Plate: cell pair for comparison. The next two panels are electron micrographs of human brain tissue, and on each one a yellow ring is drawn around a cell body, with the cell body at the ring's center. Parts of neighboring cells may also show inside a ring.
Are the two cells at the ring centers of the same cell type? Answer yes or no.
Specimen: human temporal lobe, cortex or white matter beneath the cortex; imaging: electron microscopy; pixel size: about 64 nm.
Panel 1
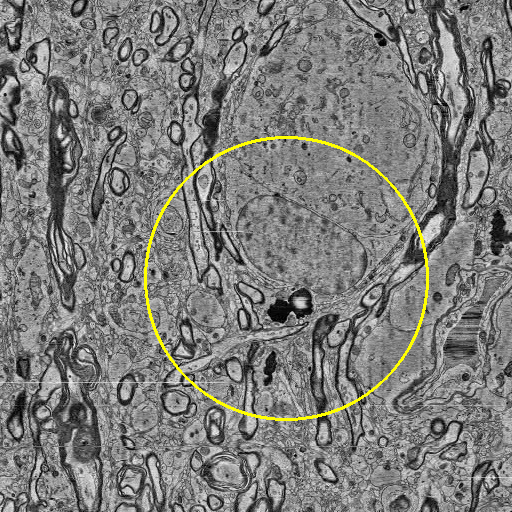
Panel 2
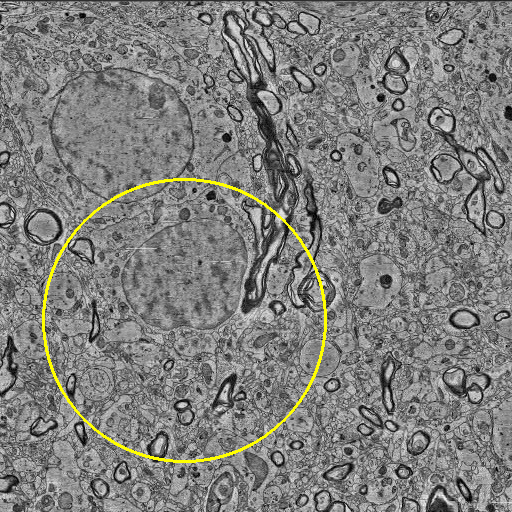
no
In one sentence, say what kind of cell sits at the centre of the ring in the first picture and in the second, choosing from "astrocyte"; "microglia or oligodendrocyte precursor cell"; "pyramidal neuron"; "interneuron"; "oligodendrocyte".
The first picture's ringed cell is a microglial cell or oligodendrocyte precursor cell, while the second picture's is an oligodendrocyte.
